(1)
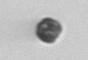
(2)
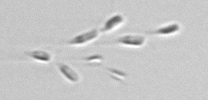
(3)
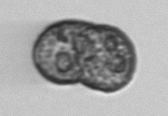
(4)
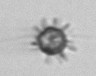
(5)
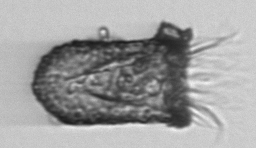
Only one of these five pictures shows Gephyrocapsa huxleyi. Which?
Picture 1.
